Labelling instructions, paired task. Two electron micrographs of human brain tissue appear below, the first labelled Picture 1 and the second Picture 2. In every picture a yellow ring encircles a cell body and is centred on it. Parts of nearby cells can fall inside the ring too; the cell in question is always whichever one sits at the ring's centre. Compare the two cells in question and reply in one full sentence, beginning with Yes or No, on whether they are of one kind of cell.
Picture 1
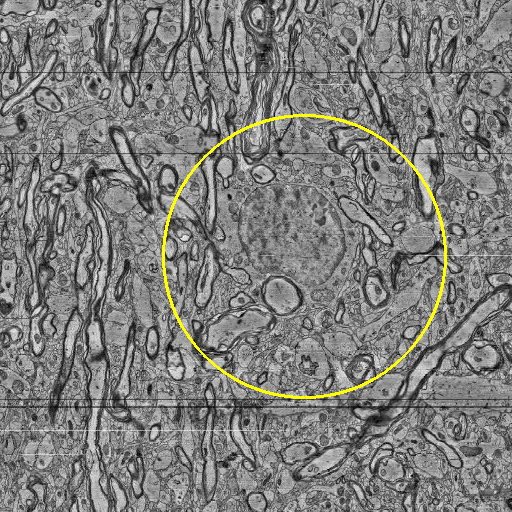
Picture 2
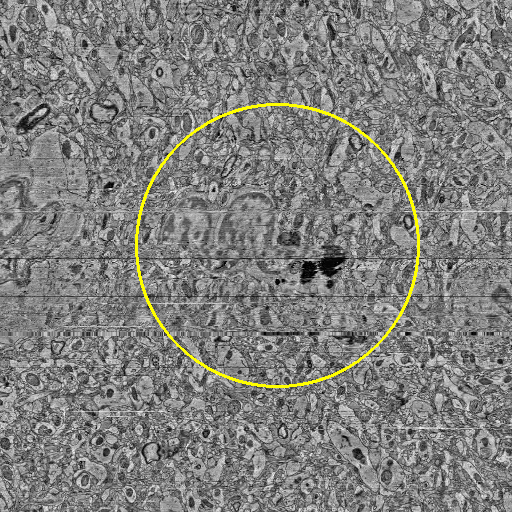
Yes, the two cells at the ring centres in Picture 1 and Picture 2 are of one kind.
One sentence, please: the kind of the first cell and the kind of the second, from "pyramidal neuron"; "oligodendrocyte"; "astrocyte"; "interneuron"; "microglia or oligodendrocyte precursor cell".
In each of the two pictures, the ringed cell is an oligodendrocyte.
